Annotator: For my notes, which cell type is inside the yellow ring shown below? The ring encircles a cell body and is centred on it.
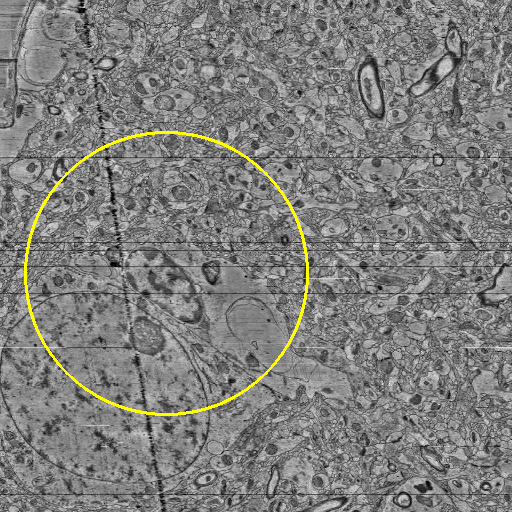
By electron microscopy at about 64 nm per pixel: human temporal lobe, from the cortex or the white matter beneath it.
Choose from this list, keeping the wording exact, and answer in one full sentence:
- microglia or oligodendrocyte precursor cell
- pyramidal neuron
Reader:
At the centre of the yellow ring there is a microglial cell or oligodendrocyte precursor cell, as shown in the picture.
